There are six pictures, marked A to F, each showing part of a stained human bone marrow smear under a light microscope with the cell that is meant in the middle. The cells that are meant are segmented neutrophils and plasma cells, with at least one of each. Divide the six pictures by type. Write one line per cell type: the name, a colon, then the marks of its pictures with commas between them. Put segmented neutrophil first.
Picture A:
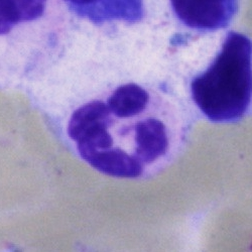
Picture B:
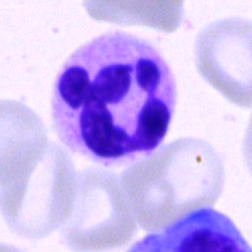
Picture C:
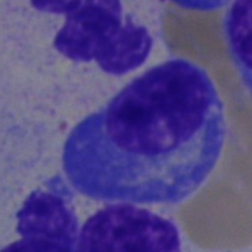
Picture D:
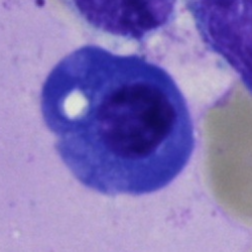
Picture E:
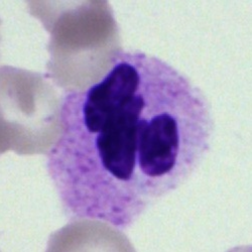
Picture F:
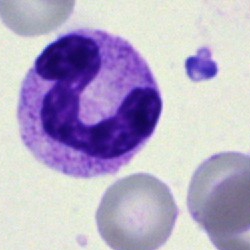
segmented neutrophil: A, B, E, F
plasma cell: C, D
